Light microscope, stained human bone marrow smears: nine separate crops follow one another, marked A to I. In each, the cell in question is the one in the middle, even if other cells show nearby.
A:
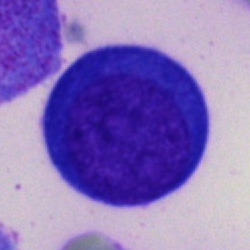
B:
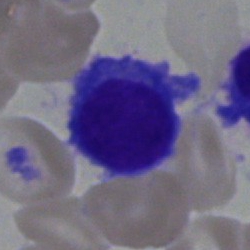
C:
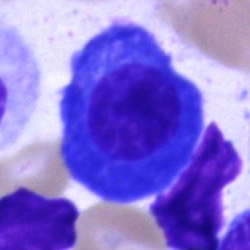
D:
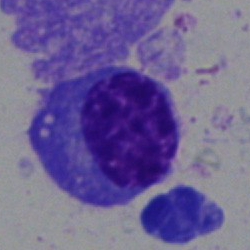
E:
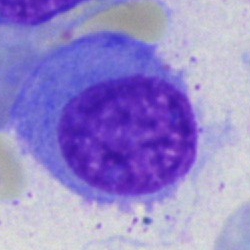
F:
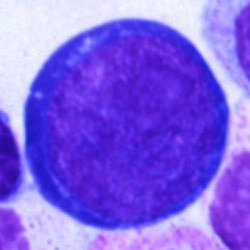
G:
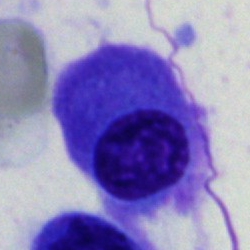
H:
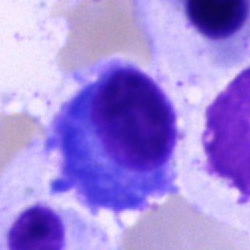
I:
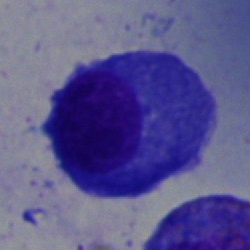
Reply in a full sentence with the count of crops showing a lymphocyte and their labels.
Since the crops show no lymphocytes, a count of zero follows.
